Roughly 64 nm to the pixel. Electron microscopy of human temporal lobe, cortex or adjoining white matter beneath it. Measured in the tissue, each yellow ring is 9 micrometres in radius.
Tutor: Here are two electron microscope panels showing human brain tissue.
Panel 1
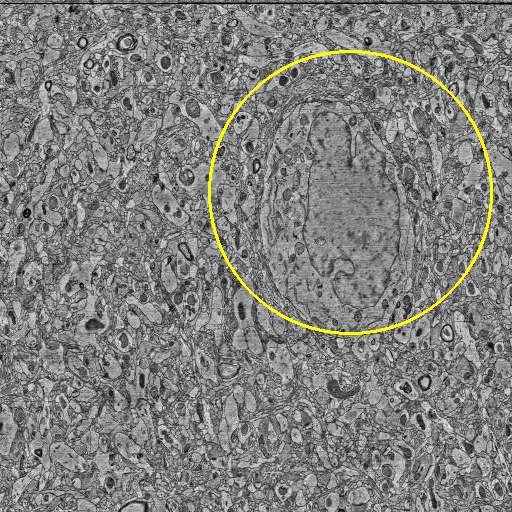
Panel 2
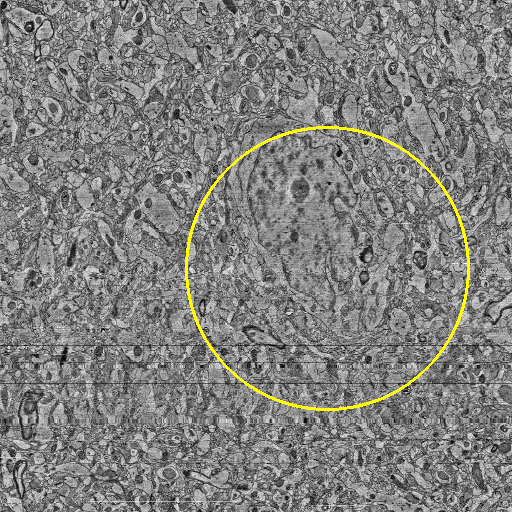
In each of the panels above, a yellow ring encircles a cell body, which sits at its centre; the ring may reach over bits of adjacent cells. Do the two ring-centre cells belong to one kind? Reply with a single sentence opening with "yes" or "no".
Yes, the two cells sitting at the ring centres in the panels belong to one kind.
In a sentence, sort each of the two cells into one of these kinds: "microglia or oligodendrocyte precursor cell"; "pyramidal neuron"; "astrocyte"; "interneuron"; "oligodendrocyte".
Each cell at the centre of a ring is an interneuron.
